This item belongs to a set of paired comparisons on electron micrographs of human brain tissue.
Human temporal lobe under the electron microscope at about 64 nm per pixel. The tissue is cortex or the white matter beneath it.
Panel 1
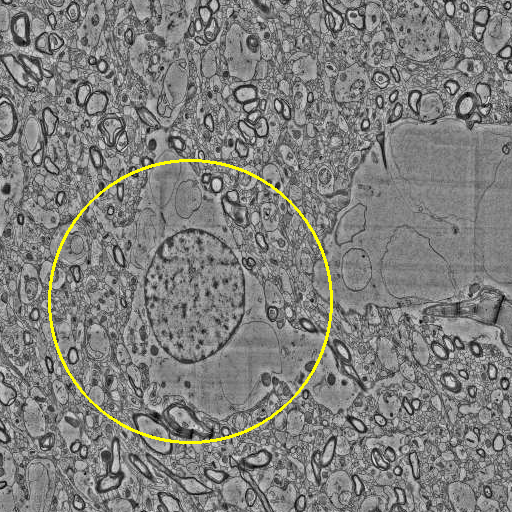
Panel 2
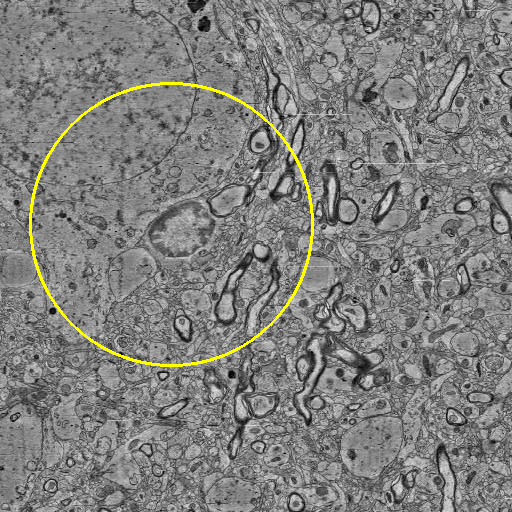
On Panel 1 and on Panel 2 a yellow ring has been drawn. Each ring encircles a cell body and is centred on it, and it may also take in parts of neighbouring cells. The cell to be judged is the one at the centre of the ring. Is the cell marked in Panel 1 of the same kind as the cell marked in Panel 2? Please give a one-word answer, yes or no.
no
